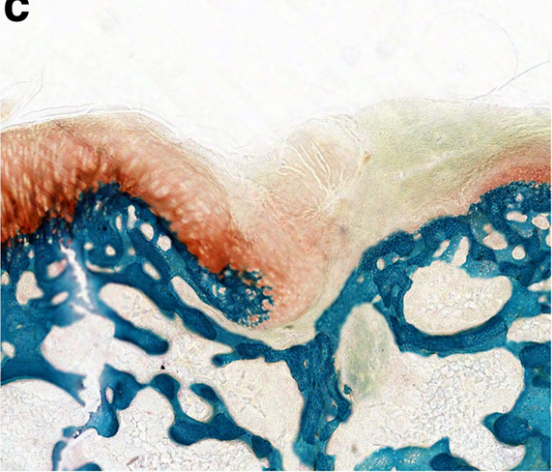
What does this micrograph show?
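This section passes through an osteochondral lesion, with cartilage over the subchondral bone. On the left, the cartilage is a thick orange-red band full of small rounded lacunae, and this band curves downward where it meets the edge of the lesion. In the middle the surface dips, and the gap is filled with a pale, weakly stained tissue that lacks the red colour of the neighbouring cartilage. On the right, the cartilage is thinner and only faintly red at its base. Beneath the whole surface lie blue-green bone trabeculae enclosing pale marrow spaces.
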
